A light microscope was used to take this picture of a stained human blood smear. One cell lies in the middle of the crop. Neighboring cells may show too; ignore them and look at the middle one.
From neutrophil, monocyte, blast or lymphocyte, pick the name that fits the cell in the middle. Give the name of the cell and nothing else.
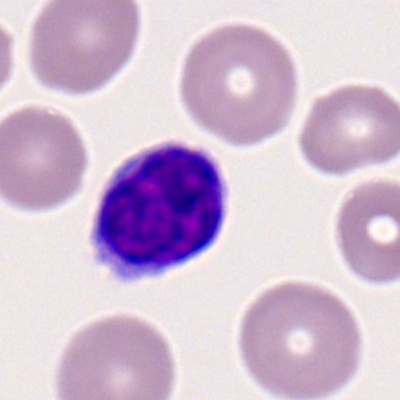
lymphocyte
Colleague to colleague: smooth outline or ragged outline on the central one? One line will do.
The border of the cell is irregular, being either ragged or extended into projections.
